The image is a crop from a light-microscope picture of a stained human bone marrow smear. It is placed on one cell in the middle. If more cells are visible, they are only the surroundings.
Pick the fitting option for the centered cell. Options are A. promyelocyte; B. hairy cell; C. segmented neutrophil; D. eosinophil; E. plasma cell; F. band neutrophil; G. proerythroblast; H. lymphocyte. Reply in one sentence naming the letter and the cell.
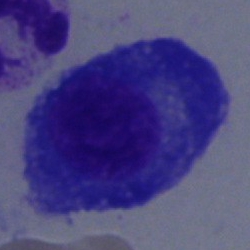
The expected answer is option E, the central cell being a plasma cell.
